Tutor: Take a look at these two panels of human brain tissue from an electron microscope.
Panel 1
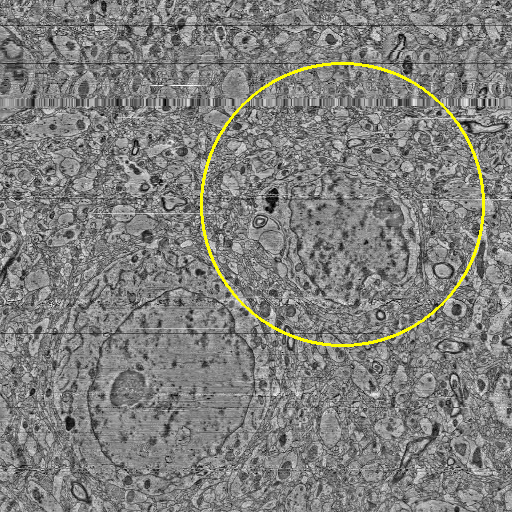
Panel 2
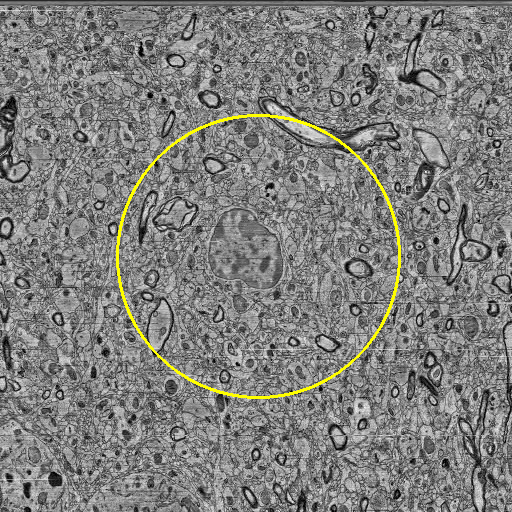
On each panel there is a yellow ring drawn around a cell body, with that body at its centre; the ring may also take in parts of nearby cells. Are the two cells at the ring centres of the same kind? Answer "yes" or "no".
no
